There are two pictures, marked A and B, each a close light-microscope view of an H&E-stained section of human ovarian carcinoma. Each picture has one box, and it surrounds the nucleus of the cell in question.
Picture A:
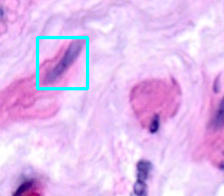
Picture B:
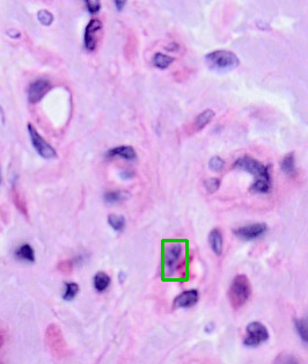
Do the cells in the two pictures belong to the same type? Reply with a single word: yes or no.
no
